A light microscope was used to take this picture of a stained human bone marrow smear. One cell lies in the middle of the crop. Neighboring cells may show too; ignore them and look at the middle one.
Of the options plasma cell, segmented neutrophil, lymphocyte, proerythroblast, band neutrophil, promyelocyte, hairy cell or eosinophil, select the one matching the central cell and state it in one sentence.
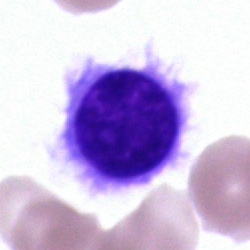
At the center of the crop sits a hairy cell.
